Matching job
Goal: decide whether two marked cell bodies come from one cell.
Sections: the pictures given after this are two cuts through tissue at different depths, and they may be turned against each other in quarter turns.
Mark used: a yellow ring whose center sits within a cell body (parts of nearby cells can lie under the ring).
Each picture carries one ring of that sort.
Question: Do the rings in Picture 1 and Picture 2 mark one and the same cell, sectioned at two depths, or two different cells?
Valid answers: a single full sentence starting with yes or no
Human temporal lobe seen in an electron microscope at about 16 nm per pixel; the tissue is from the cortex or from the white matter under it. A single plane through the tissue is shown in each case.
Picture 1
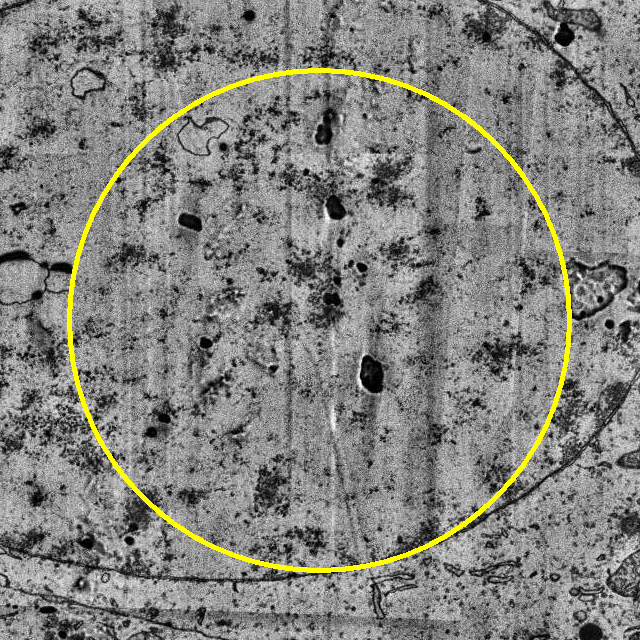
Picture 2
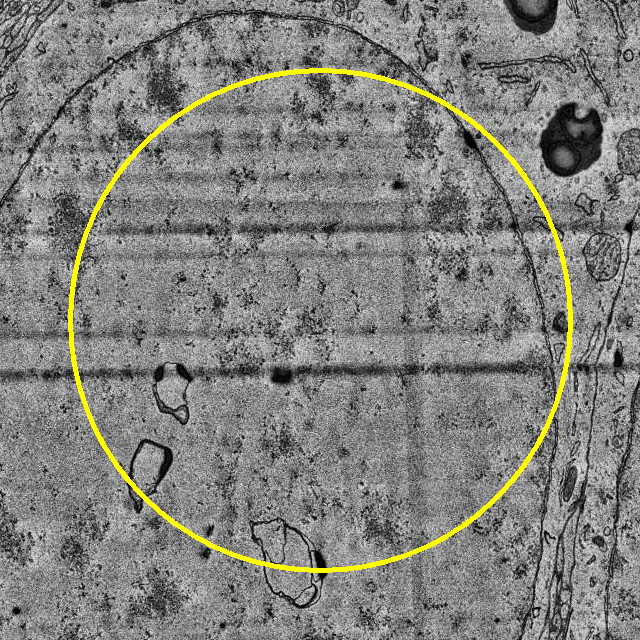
Yes, a single cell is marked twice, once by each yellow ring.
